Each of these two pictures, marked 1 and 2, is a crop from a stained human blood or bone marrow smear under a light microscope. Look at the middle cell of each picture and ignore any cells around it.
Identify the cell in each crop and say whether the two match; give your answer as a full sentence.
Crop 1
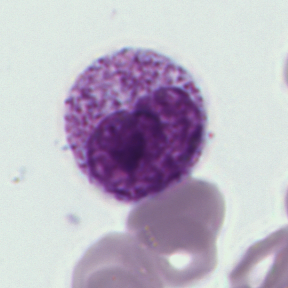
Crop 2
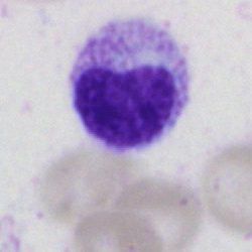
Yes, put down metamyelocytes for both crops.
